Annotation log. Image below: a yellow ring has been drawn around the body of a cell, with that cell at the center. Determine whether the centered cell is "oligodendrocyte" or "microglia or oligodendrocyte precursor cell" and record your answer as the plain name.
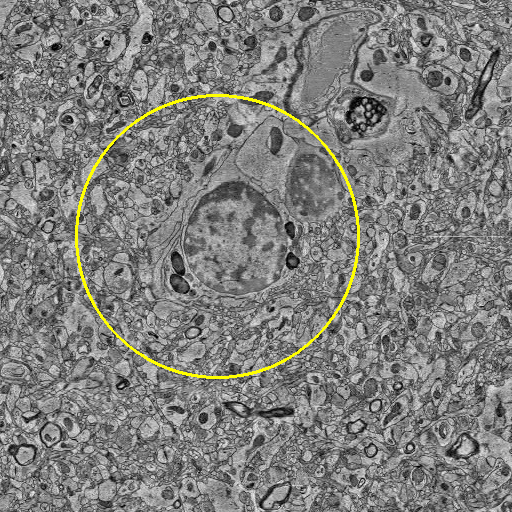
microglia or oligodendrocyte precursor cell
